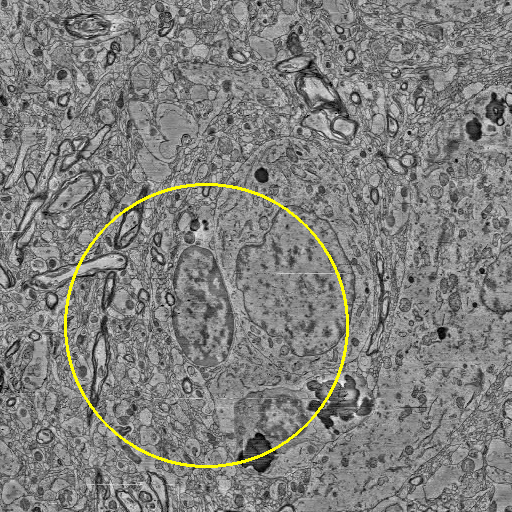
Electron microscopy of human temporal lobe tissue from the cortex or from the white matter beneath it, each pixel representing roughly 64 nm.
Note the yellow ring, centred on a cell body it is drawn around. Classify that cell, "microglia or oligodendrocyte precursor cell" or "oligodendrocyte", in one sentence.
The cell the ring is centred on is a microglial cell or oligodendrocyte precursor cell.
